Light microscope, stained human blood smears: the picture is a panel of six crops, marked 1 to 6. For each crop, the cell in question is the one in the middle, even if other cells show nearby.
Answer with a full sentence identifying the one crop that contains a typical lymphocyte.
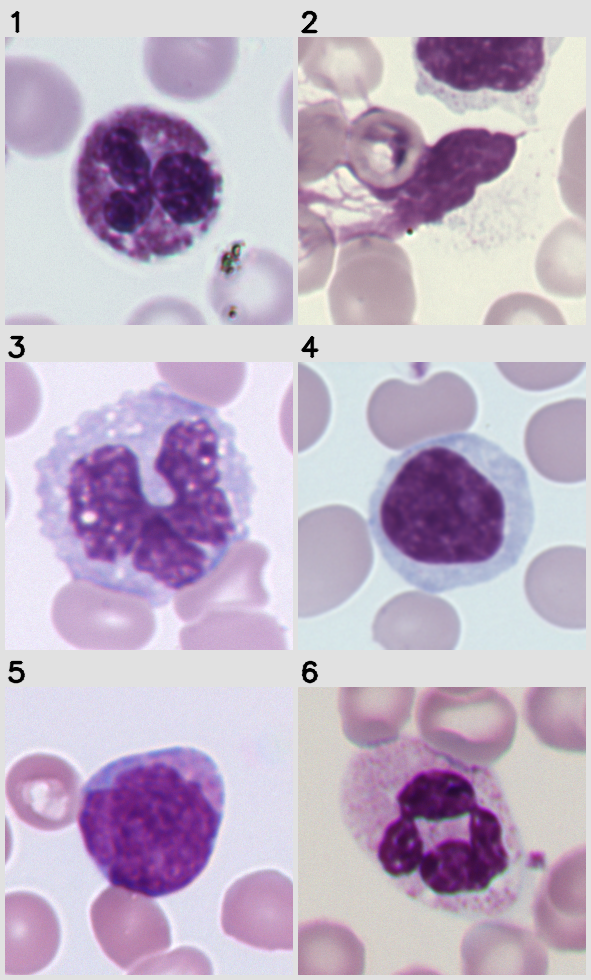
Crop 4 is the single crop that shows a typical lymphocyte.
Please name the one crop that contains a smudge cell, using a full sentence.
Crop 2 is where a smudge cell is shown.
